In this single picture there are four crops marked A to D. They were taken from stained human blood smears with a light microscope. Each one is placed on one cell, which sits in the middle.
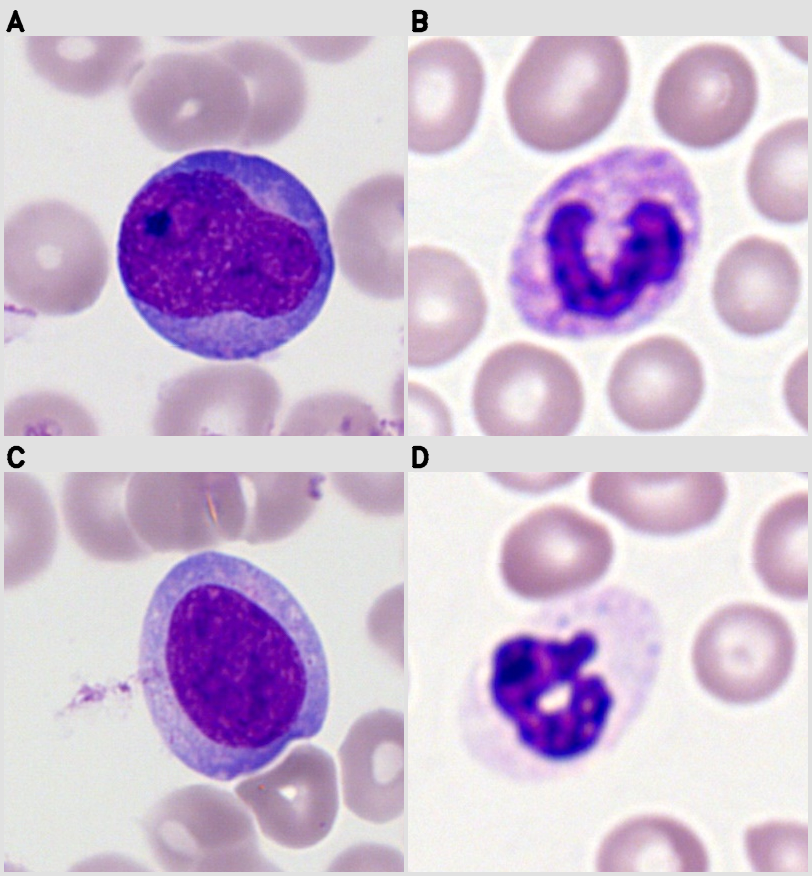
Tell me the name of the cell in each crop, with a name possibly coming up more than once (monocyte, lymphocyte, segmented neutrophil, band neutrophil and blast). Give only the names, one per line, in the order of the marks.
blast
band neutrophil
blast
segmented neutrophil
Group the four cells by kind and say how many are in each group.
blast: 2
band neutrophil: 1
segmented neutrophil: 1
